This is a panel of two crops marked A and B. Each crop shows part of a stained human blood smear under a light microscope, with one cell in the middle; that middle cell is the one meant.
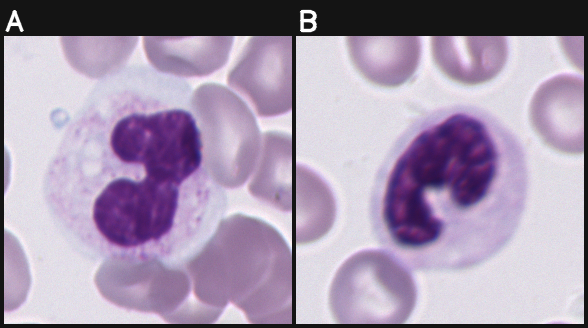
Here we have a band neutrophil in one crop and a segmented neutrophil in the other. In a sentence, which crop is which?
The cell of crop A is a segmented neutrophil; that of crop B is a band neutrophil.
